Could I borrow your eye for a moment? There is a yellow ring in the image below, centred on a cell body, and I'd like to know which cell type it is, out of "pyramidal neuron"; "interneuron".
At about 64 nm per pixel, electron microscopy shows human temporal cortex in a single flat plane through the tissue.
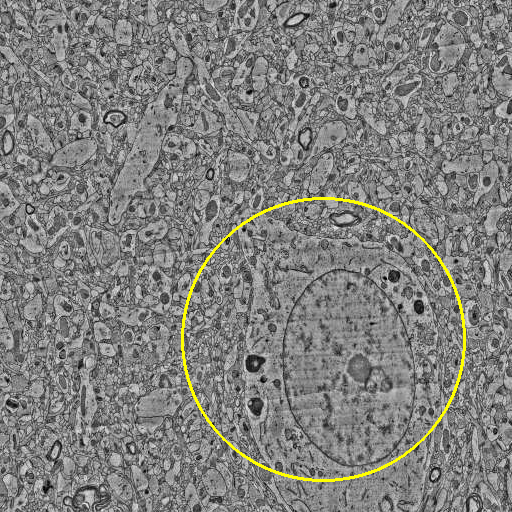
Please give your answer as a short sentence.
The cell body at the centre is that of a pyramidal neuron.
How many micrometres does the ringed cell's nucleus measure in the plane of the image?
About 13 by 8 micrometres, the nucleus being clearly longer than it is wide in this plane.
